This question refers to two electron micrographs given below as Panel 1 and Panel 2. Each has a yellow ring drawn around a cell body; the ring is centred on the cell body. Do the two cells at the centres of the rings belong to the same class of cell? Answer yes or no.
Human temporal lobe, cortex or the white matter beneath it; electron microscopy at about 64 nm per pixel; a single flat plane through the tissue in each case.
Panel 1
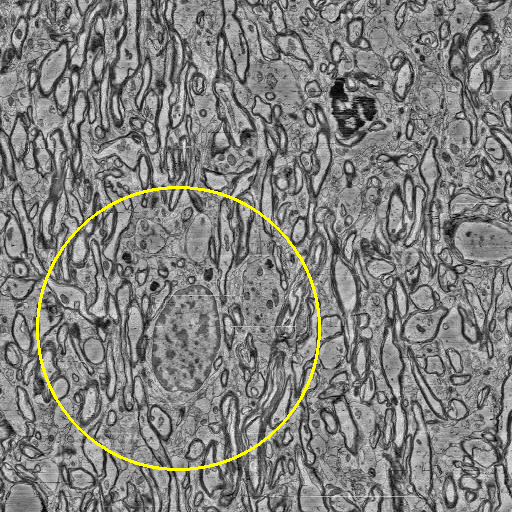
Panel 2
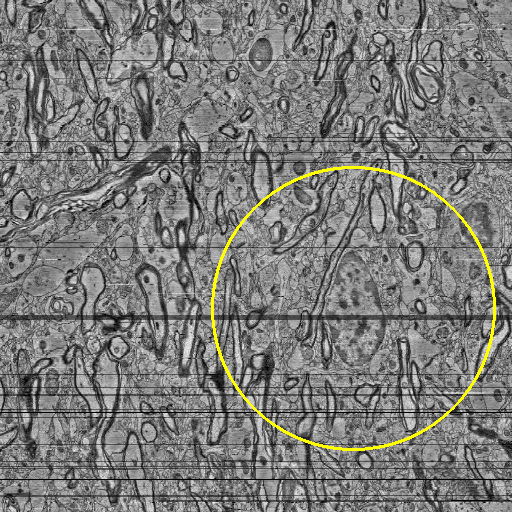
yes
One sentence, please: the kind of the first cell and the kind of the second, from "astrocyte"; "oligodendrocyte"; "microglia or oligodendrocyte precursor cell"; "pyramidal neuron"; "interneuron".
Each of the two rings is centred on a microglial cell or oligodendrocyte precursor cell.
